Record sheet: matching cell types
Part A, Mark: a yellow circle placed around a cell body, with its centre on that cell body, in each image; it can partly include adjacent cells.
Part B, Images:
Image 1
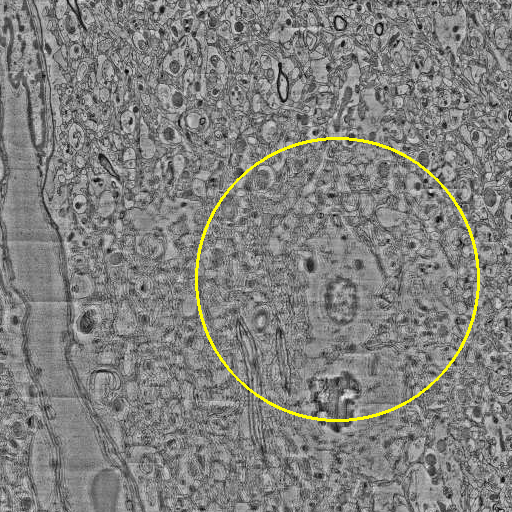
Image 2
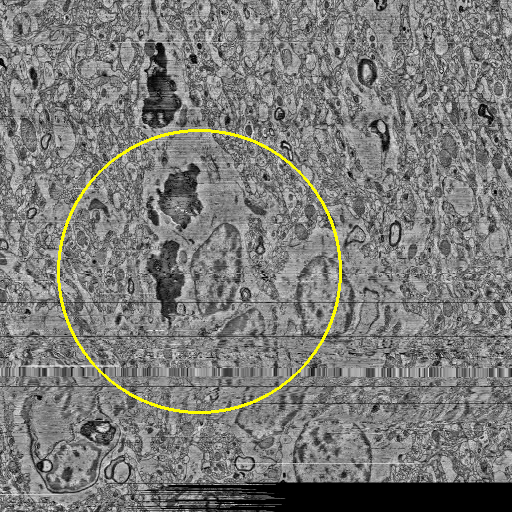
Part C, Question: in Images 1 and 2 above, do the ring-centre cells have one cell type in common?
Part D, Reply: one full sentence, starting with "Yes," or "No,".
Yes, the ring-centre cells of Image 1 and Image 2 are both of a single cell type.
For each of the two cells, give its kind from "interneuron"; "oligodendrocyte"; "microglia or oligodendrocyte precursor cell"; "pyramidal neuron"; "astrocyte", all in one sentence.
The cell in the first picture is an astrocyte, and so is the one in the second.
